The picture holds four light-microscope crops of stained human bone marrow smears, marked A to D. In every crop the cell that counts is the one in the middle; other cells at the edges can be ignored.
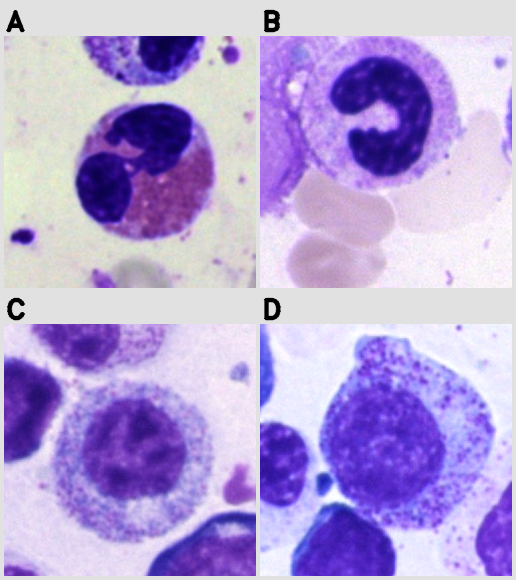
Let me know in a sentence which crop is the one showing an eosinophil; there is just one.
Crop A is identified as the crop showing an eosinophil.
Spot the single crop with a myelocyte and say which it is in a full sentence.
The crop with a myelocyte at its center is crop C.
